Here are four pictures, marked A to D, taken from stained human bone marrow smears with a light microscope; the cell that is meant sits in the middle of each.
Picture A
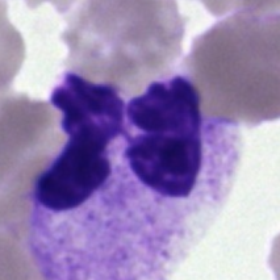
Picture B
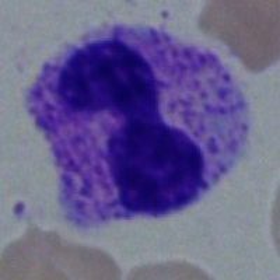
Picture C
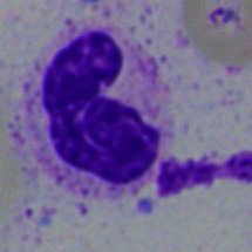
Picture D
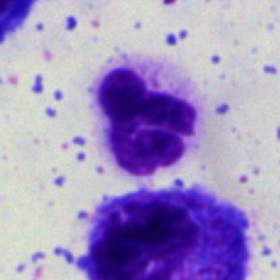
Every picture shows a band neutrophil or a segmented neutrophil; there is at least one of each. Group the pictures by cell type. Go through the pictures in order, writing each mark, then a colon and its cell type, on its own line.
A: segmented neutrophil
B: band neutrophil
C: band neutrophil
D: segmented neutrophil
